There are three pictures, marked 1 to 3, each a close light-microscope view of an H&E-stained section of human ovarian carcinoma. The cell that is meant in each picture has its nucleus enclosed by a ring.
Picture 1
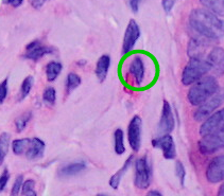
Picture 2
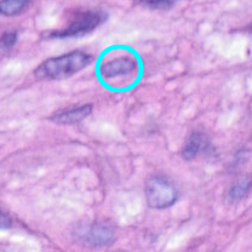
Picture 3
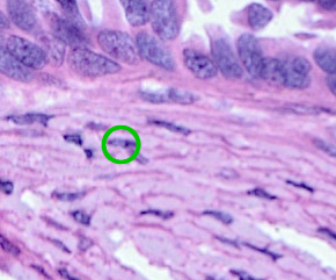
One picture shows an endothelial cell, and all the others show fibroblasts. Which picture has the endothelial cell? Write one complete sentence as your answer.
Picture 1 is the one that shows the endothelial cell.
